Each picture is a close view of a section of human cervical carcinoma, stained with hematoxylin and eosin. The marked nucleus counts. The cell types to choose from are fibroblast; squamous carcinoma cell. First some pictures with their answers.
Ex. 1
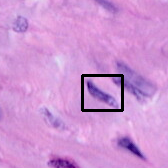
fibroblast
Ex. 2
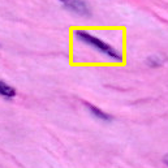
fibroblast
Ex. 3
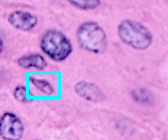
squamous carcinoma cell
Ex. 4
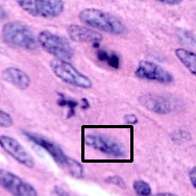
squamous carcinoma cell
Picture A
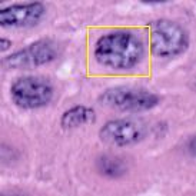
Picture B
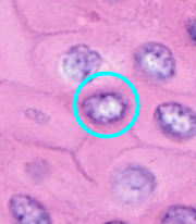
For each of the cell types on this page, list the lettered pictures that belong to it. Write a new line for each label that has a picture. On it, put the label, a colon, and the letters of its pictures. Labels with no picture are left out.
squamous carcinoma cell: A, B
